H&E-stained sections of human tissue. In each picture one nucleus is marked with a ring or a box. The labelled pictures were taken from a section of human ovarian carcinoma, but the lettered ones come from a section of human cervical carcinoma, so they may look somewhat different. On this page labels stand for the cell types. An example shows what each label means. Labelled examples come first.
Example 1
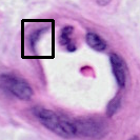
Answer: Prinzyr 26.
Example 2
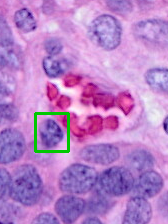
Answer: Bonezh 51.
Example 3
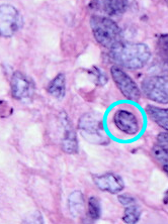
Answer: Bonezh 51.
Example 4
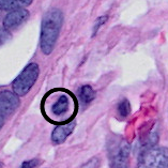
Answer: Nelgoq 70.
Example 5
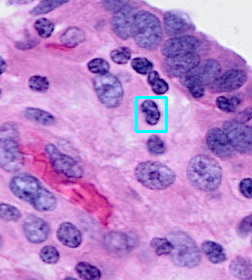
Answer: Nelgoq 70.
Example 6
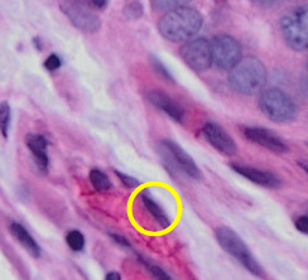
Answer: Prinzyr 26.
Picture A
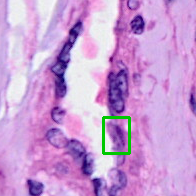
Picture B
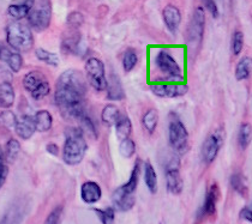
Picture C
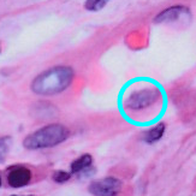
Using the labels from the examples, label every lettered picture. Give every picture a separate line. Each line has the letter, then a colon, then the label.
A: Prinzyr 26.
B: Nelgoq 70.
C: Prinzyr 26.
